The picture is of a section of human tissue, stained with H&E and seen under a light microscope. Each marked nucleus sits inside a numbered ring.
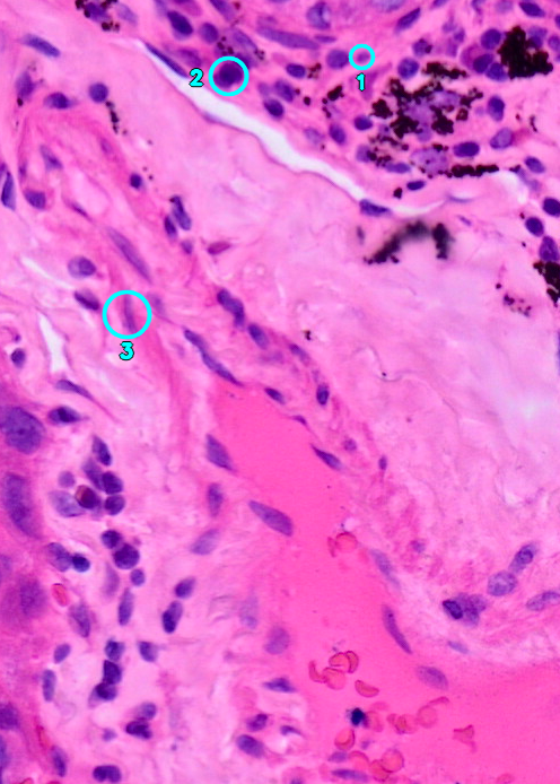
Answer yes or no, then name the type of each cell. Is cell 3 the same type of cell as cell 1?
No, cell 3 counts as a smooth muscle cell or pericyte, and cell 1 counts as a lymphocyte.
